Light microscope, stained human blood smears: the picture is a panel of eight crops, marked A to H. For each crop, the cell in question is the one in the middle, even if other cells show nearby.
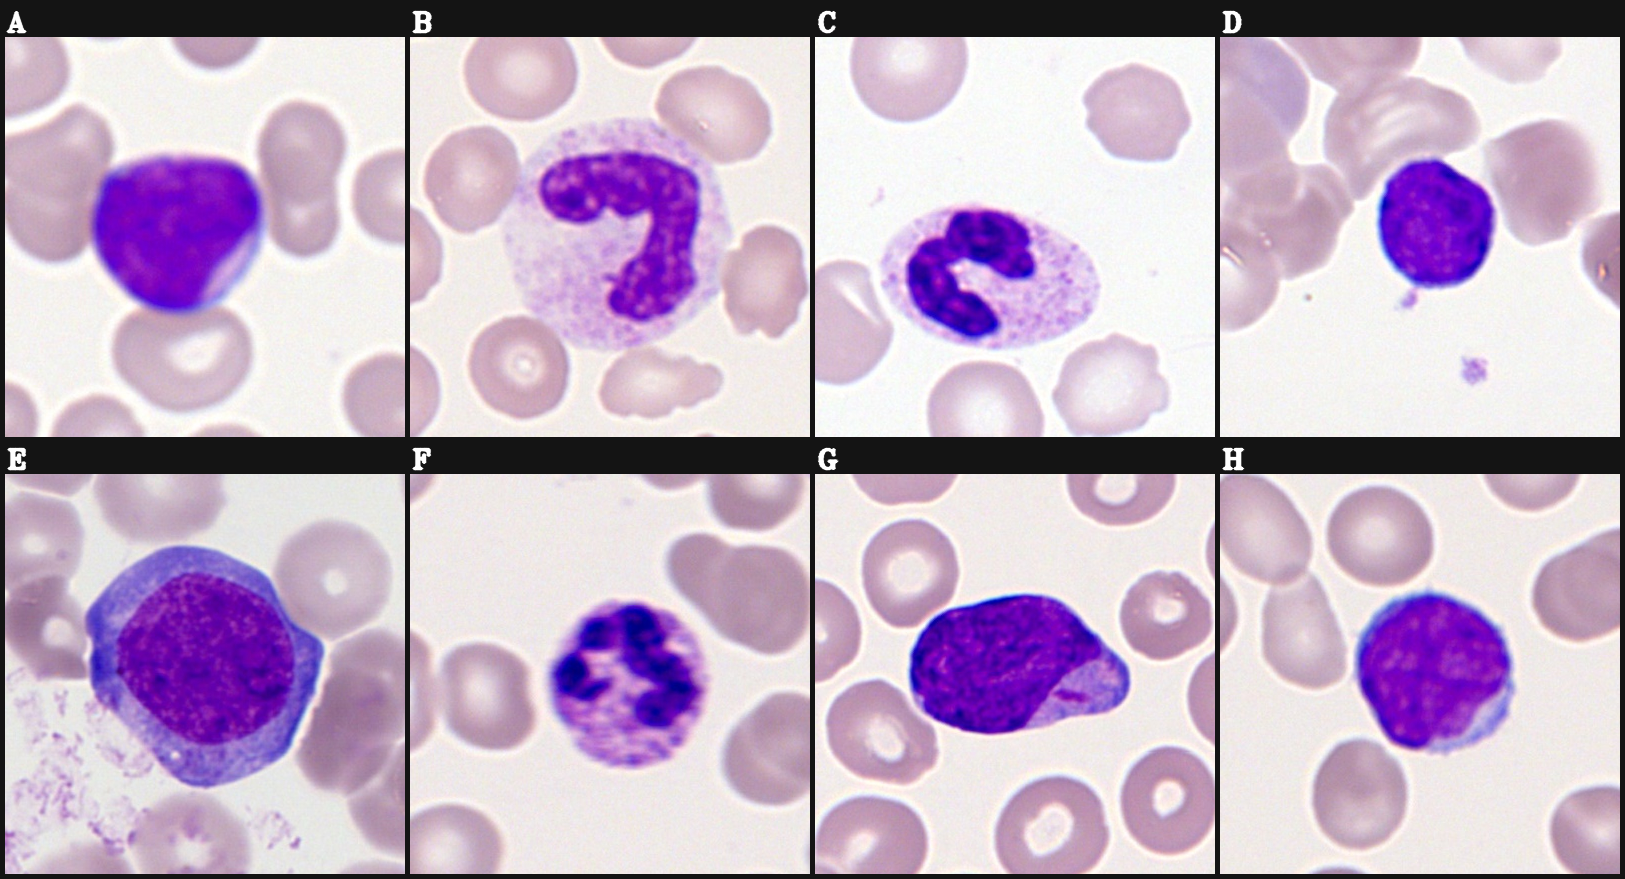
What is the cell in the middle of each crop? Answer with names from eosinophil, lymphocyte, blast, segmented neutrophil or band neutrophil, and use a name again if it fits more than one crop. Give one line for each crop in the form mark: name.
A: blast
B: band neutrophil
C: segmented neutrophil
D: lymphocyte
E: blast
F: segmented neutrophil
G: blast
H: lymphocyte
